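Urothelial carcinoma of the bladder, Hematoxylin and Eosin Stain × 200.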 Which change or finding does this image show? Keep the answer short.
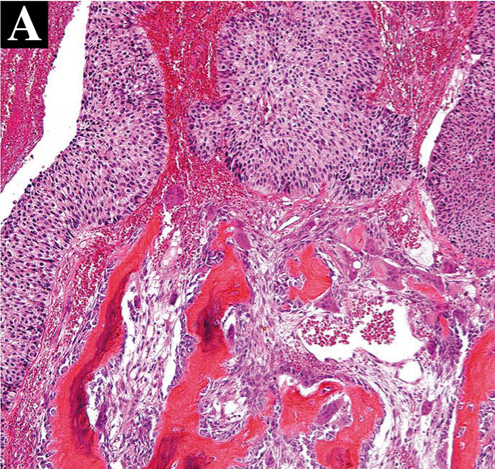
Stromal osseous metaplasia.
